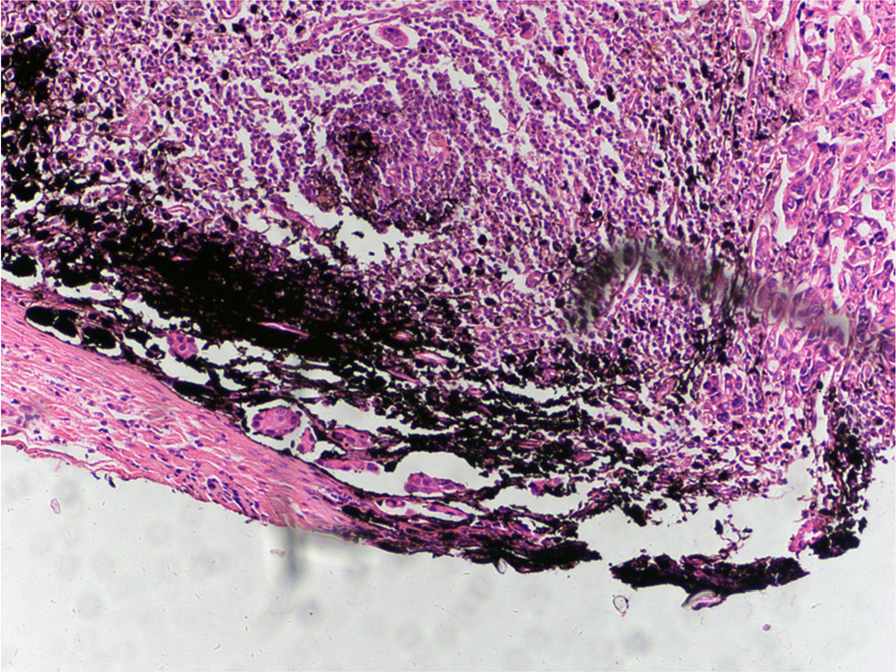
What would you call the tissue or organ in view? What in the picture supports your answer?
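A thin pink fibrous capsule runs along the lower left edge. Densely packed small round dark-nucleated cells fill much of the tissue. At the upper right lie larger cells with ample pink cytoplasm and pale oval nuclei, unlike the small round cells.
Hence: Metastatic lymph nodes.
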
